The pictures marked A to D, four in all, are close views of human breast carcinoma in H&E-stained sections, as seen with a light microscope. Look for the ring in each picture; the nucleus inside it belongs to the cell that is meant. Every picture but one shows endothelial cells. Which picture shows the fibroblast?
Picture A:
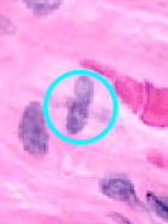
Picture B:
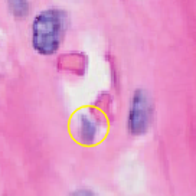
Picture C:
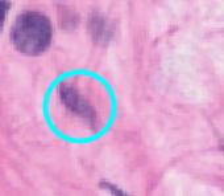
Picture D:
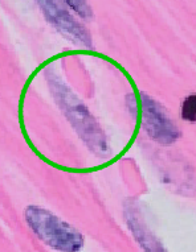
C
